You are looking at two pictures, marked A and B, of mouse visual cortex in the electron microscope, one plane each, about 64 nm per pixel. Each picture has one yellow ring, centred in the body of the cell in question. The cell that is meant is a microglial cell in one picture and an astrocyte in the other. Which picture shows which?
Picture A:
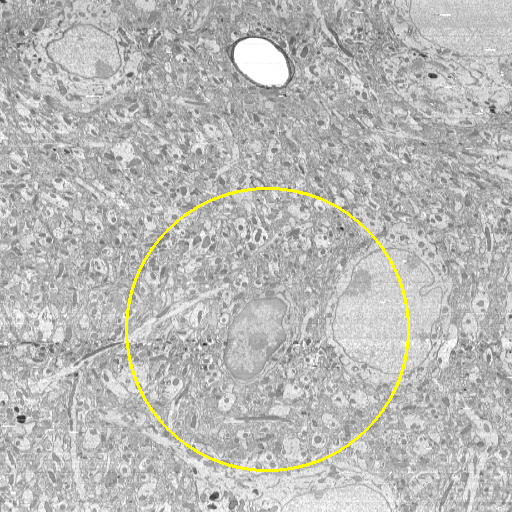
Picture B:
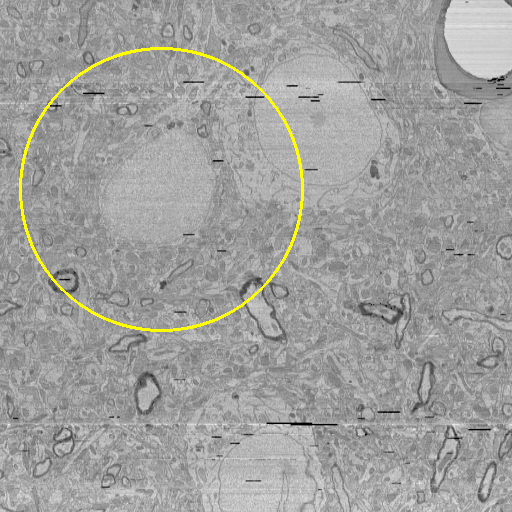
The cell in picture A is a microglial cell, and the one in picture B is an astrocyte.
